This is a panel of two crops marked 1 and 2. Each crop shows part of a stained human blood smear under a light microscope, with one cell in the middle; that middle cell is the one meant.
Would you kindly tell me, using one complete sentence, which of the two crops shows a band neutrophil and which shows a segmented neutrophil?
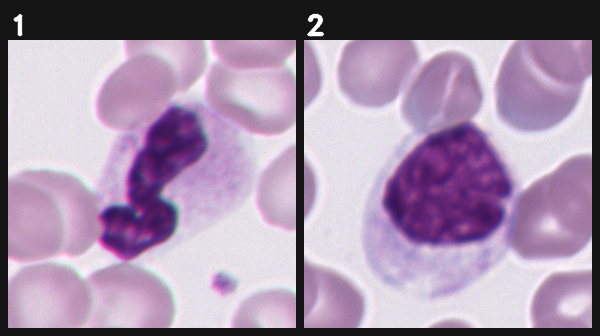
Within crop 1 sits a segmented neutrophil, and within crop 2 sits a band neutrophil.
